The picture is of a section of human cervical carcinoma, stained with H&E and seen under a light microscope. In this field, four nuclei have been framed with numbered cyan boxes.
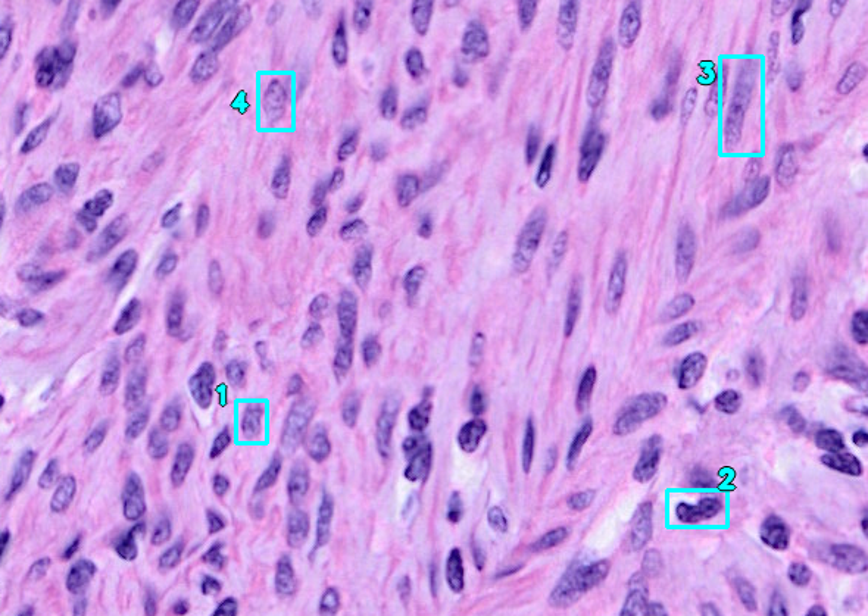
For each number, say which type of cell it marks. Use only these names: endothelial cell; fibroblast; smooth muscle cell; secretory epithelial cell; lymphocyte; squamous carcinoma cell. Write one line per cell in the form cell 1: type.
cell 1: smooth muscle cell
cell 2: lymphocyte
cell 3: smooth muscle cell
cell 4: smooth muscle cell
